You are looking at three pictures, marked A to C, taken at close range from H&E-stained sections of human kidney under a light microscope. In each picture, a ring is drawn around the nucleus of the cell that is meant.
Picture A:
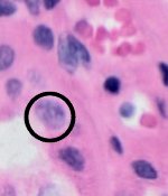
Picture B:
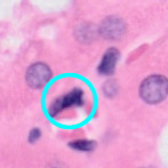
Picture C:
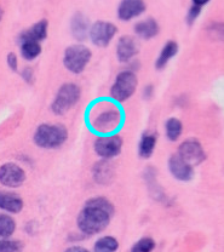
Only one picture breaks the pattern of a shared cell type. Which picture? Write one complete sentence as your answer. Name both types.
Picture B differs, because its cell is an endothelial cell and the rest are collecting duct cells.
